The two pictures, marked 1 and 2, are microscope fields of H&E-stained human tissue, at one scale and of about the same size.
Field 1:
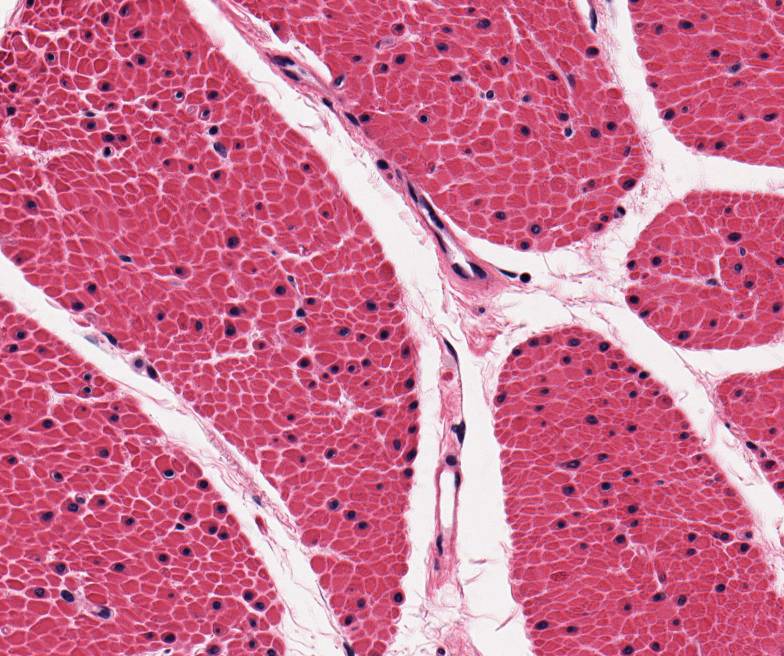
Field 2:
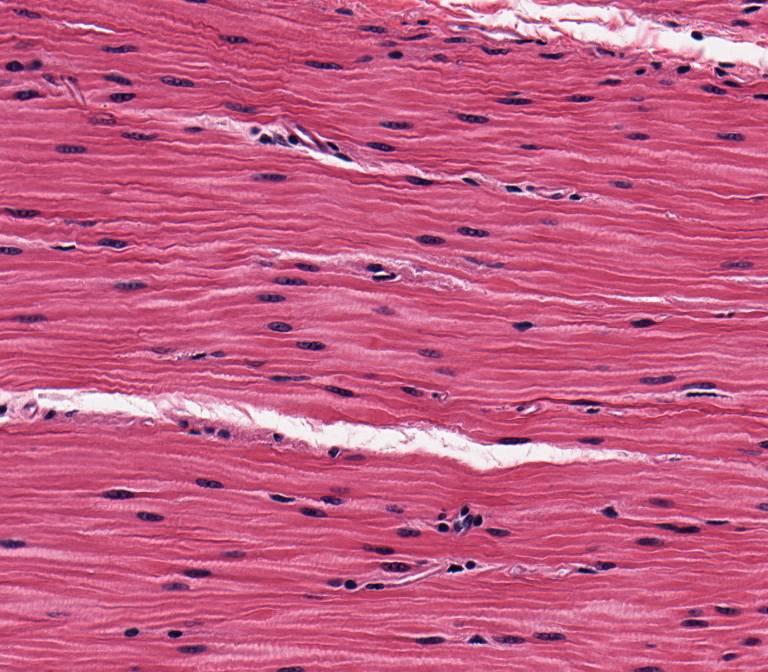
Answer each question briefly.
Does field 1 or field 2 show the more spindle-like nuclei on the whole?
2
